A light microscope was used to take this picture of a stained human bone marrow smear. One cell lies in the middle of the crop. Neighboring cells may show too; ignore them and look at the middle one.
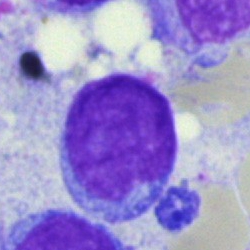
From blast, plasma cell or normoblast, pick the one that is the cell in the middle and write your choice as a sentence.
By type, the central cell of the crop is a blast.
